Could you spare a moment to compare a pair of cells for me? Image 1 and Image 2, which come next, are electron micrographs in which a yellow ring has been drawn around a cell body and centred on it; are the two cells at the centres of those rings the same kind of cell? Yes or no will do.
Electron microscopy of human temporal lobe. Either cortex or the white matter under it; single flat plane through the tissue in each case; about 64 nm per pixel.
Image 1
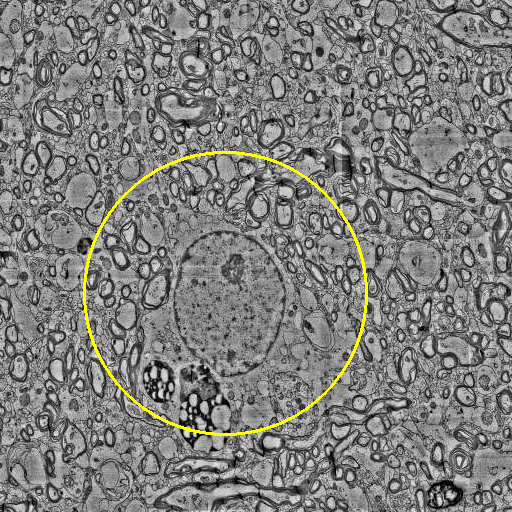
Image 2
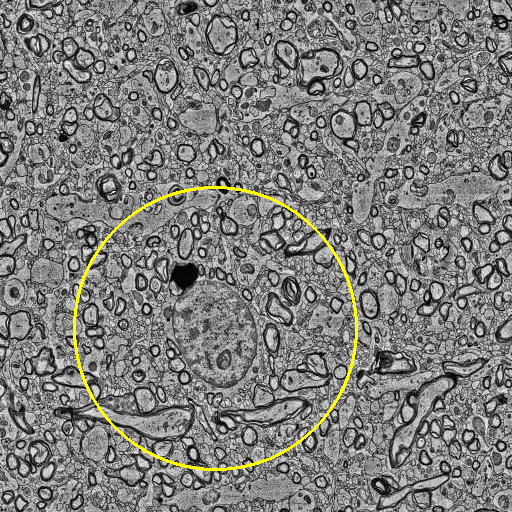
no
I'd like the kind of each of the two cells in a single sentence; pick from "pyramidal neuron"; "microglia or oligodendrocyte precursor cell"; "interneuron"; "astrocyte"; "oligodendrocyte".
The first ring marks an astrocyte, and the second ring marks an oligodendrocyte.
